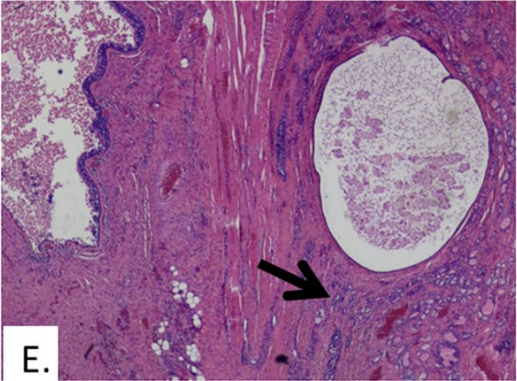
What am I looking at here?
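This low-power view shows the wall of a thyroglossal duct cyst stained with pink and purple dyes. A large round cavity on the right holds pale pink material, and around it lie many small round follicles with pink colloid, packed together in the wall. Bands of pink skeletal muscle fibres run vertically through the middle of the field. On the left a lumen with red blood cells is lined by a thin, folded purple epithelium resting on pink connective tissue. A few clear round fat cells lie in the stroma near the bottom.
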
